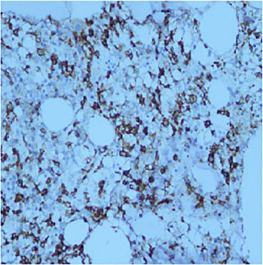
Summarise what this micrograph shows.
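This is bone marrow tissue in which hematopoietic cells fill the spaces between round, empty fat vacuoles of varying size. Among the cells, many small to medium-sized cells are outlined by dark brown staining, which is concentrated at their borders. These stained cells are scattered densely and in patches throughout the field. The cells between them have blue, rounded to irregular nuclei.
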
